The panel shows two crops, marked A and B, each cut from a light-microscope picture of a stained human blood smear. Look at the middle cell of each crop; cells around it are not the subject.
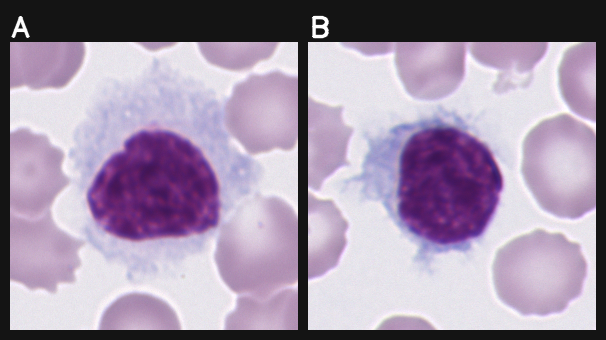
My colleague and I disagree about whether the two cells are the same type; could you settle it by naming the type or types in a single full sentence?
Yes, both crops show hairy cells, and the two match.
